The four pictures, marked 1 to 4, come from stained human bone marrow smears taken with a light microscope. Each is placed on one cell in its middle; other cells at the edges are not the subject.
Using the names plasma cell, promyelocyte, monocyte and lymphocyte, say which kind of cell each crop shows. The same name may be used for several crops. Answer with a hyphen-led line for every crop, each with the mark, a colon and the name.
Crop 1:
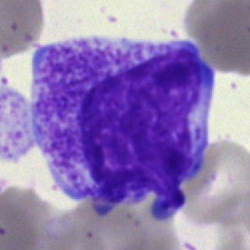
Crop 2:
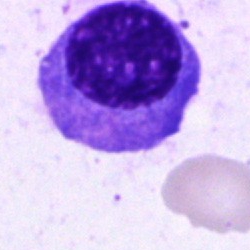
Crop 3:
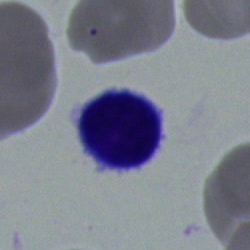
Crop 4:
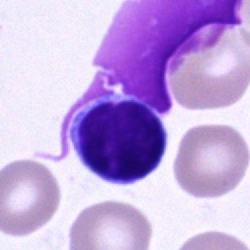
- 1: promyelocyte
- 2: plasma cell
- 3: lymphocyte
- 4: lymphocyte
